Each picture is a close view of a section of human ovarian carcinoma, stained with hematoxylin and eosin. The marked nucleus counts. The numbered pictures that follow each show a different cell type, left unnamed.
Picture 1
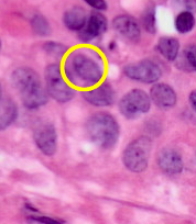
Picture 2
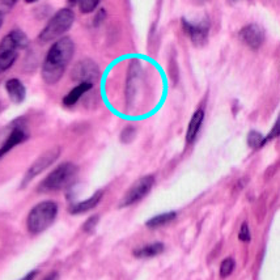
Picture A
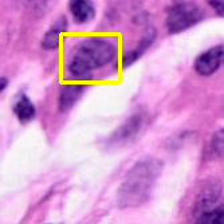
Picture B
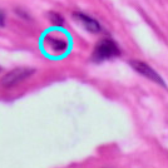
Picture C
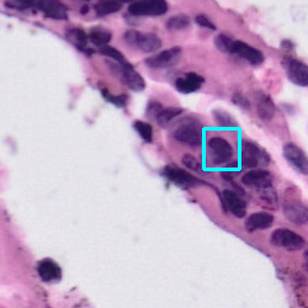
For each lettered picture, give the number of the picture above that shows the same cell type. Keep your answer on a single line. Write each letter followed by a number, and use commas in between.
A 1, B 2, C 1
